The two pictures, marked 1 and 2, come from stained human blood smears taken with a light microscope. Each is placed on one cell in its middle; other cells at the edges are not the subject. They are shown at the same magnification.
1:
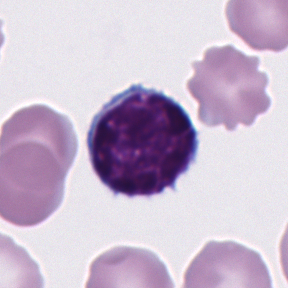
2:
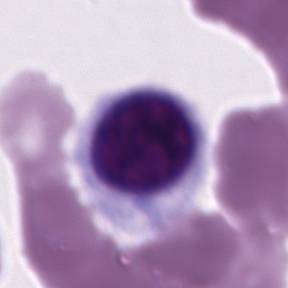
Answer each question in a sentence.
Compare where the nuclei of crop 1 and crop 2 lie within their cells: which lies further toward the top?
It is the nucleus in crop 2 that lies further toward the top of its cell.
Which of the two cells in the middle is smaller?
Crop 1 holds the smaller cell, since the cell in crop 2 covers about 1.5 times as much area.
